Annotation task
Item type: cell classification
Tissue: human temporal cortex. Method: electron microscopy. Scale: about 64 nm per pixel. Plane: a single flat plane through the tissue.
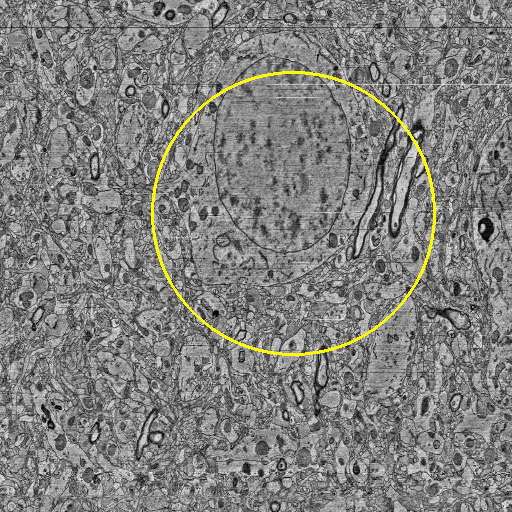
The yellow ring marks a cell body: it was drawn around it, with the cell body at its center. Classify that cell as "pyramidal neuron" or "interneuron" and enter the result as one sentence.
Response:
The ring's center falls on a pyramidal neuron.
